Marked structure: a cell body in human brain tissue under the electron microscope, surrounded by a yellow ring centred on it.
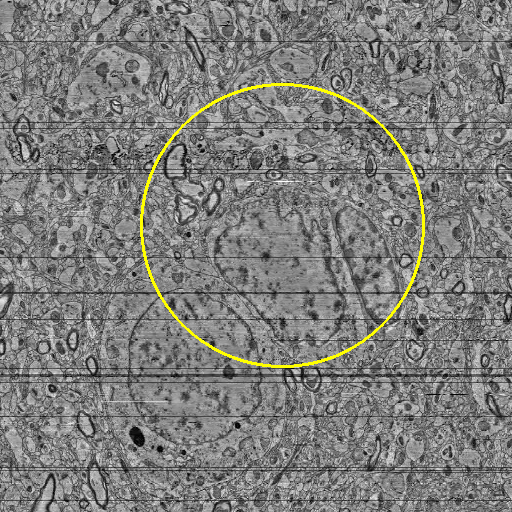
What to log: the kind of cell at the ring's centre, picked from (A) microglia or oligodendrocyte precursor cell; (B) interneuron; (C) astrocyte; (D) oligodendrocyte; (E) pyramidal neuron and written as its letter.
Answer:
B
